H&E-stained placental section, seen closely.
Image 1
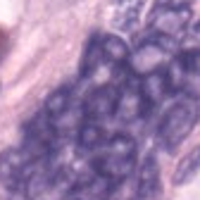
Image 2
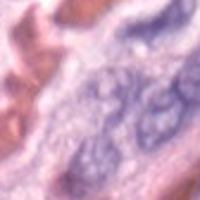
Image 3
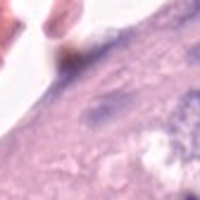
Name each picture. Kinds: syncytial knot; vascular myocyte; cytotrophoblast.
1: syncytial knot
2: cytotrophoblast
3: vascular myocyte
